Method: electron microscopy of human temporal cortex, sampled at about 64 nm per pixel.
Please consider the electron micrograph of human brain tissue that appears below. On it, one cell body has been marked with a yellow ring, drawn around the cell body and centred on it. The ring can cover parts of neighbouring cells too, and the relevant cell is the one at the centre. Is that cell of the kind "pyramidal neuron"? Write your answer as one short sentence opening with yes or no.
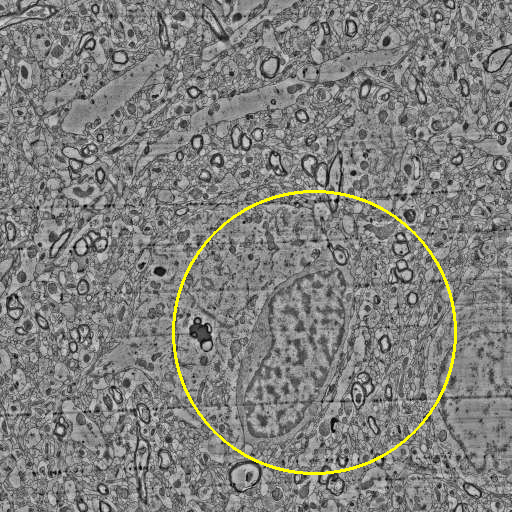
No, it is of another kind.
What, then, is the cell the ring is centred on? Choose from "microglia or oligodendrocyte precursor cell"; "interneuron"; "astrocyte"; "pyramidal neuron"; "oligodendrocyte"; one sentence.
The ring holds an oligodendrocyte at its centre.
